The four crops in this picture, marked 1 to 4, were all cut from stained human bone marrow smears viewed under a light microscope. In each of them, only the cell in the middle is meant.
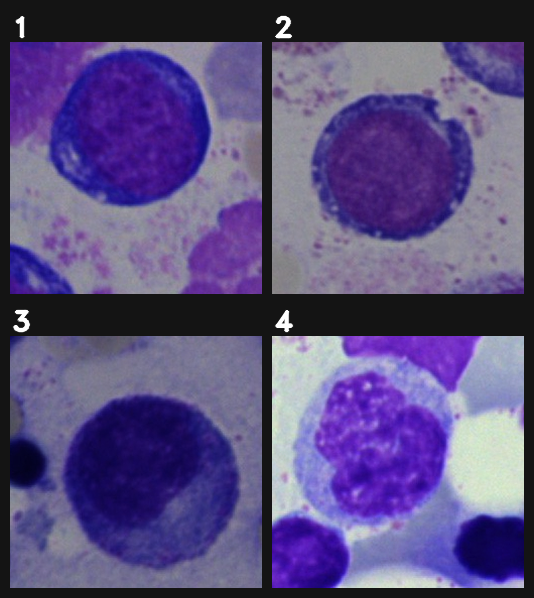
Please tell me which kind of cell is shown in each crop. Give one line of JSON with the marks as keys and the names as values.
{"1": "proerythroblast", "2": "proerythroblast", "3": "promyelocyte", "4": "monocyte"}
